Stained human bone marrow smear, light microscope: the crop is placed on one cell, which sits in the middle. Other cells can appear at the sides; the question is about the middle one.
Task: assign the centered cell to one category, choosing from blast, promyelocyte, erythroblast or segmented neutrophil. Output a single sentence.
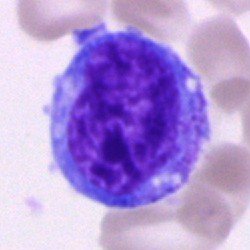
Here the centrally located cell is a promyelocyte.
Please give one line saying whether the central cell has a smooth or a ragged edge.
This cell has an uneven outline, either ragged or bearing projections.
